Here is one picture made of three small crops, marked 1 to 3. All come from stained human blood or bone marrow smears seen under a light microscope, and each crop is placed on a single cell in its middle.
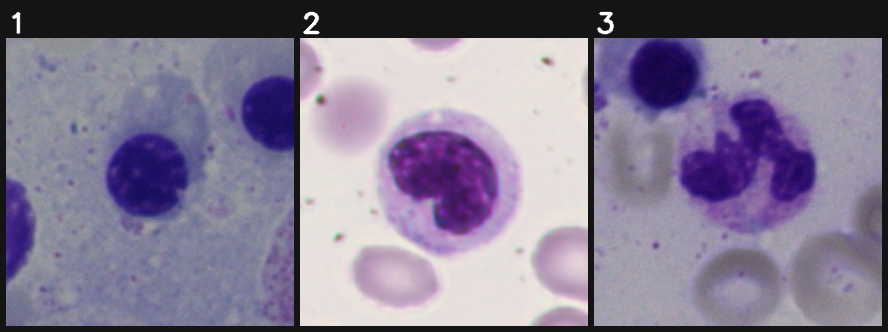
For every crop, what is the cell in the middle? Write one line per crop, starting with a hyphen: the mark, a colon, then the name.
- 1: erythroblast
- 2: band neutrophil
- 3: segmented neutrophil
